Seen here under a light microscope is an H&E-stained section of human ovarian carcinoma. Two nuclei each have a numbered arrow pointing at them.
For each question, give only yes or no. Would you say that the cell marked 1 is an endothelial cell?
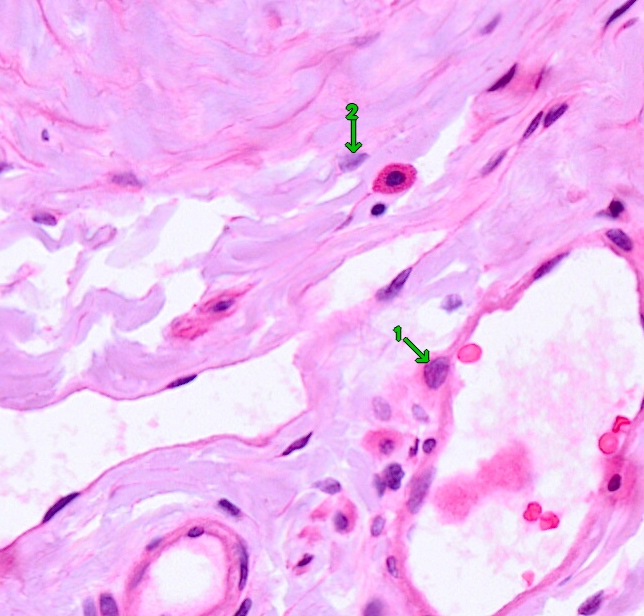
yes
